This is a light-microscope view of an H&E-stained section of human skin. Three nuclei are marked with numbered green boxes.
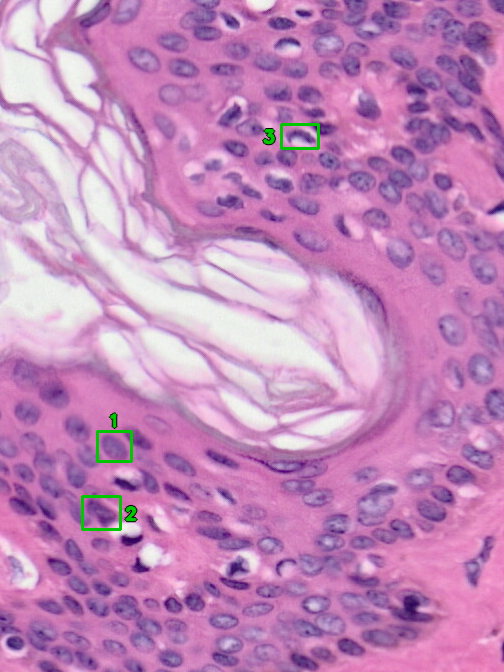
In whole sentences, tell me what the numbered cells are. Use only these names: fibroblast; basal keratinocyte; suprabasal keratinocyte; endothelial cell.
Cell 1 is a suprabasal keratinocyte, cell 2 is a basal keratinocyte and cell 3 is a basal keratinocyte.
